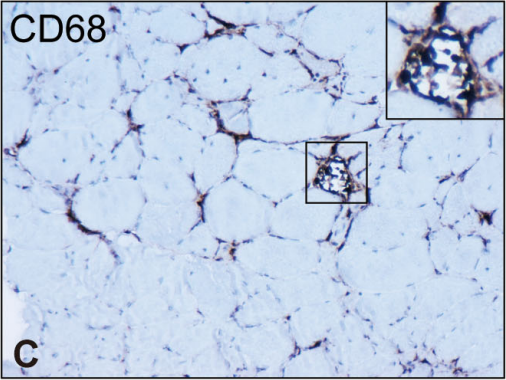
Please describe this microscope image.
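Cross-section of skeletal muscle in which pale, unstained muscle fibers of varying size and rounded outline are separated by thin endomysial spaces. Dark brown-black stained cells with irregular, elongated shapes lie scattered along these spaces between fibers, sometimes forming small clusters at fiber corners. Small blue nuclei are visible along fiber edges and in the interstitium. Near the center, one fiber is outlined by a box; its interior is occupied by many dark-stained cells, shown enlarged in the inset at the upper right, where the fiber outline is filled with stained cells invading it. The remaining fibers look intact.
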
